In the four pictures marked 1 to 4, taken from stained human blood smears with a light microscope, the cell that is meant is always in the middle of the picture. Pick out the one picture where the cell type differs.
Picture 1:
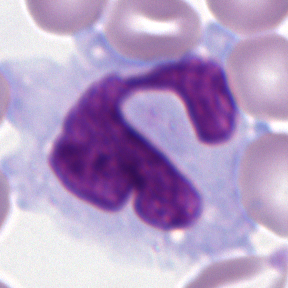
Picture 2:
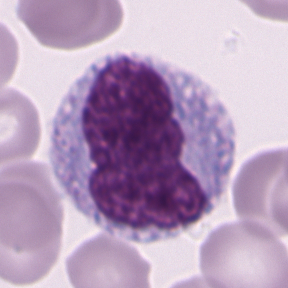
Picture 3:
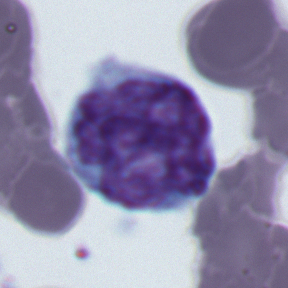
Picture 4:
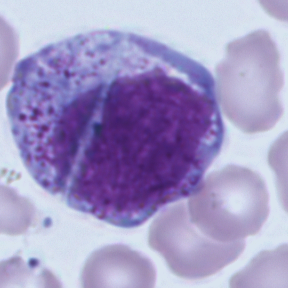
4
